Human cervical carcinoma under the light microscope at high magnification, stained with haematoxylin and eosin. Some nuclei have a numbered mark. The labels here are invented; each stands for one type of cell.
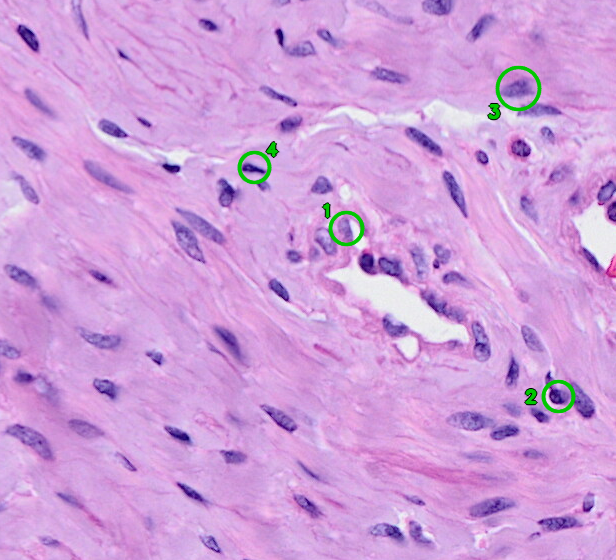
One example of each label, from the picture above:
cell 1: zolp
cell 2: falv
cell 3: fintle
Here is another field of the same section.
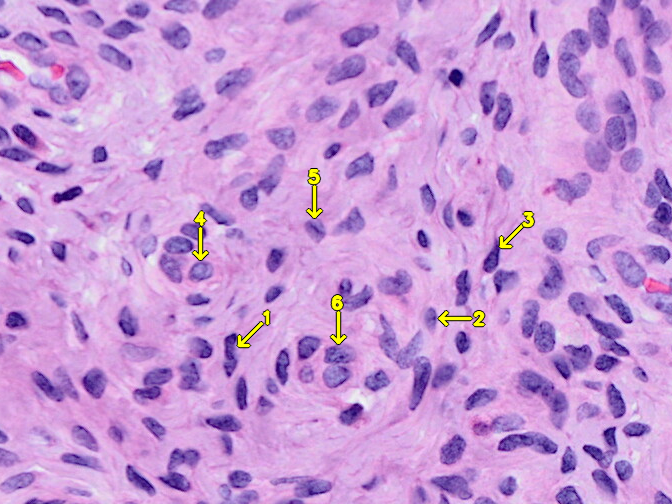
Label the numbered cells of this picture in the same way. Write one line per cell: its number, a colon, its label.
1: fintle
2: fintle
3: fintle
4: zolp
5: fintle
6: zolp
